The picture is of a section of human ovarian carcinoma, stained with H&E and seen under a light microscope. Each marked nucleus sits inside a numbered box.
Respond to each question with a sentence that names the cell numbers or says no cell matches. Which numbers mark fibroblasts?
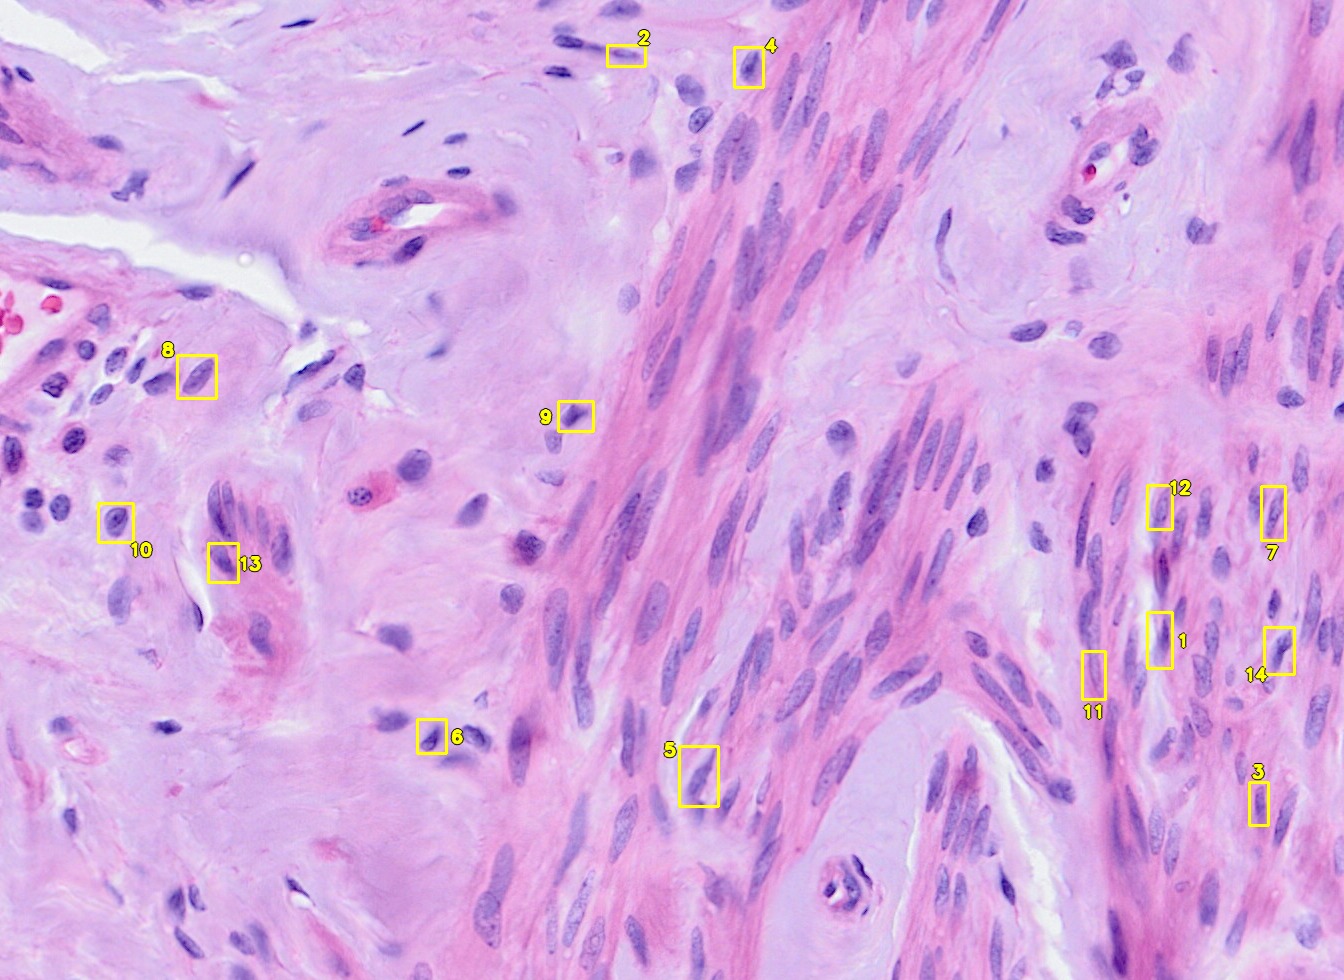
Cells that were given the numbers 2, 4, 6, 8, 9, 10 and 14 are fibroblasts.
